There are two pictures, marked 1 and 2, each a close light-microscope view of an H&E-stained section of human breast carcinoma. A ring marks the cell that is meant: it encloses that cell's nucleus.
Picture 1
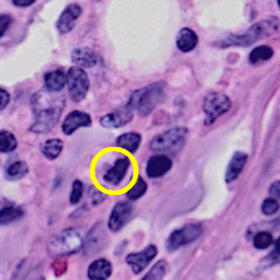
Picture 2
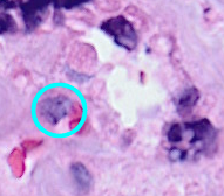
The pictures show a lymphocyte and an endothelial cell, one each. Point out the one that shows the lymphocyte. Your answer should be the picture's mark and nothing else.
1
